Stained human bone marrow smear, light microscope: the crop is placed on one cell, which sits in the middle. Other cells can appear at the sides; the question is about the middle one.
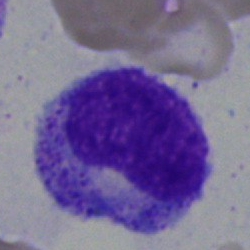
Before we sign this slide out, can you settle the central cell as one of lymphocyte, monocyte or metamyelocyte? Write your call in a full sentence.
On this slide crop, the central cell is a metamyelocyte.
